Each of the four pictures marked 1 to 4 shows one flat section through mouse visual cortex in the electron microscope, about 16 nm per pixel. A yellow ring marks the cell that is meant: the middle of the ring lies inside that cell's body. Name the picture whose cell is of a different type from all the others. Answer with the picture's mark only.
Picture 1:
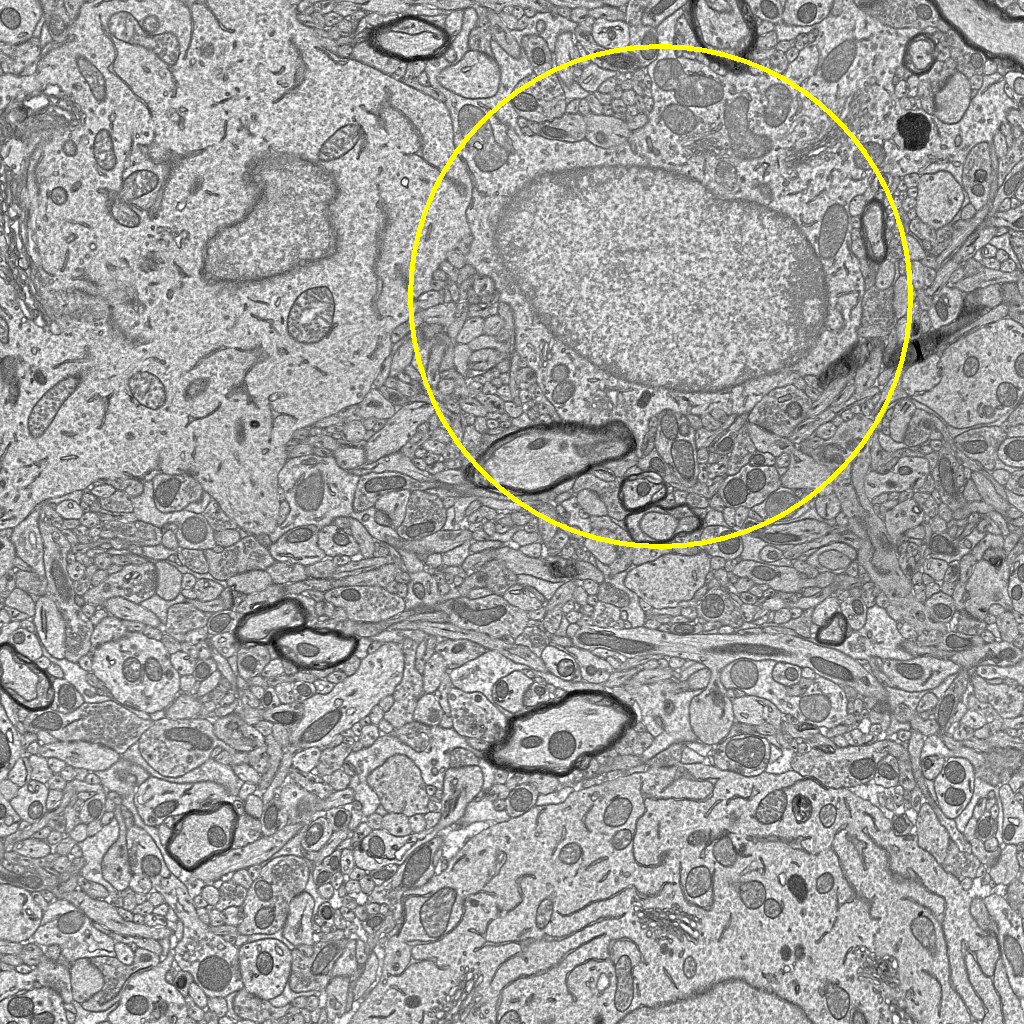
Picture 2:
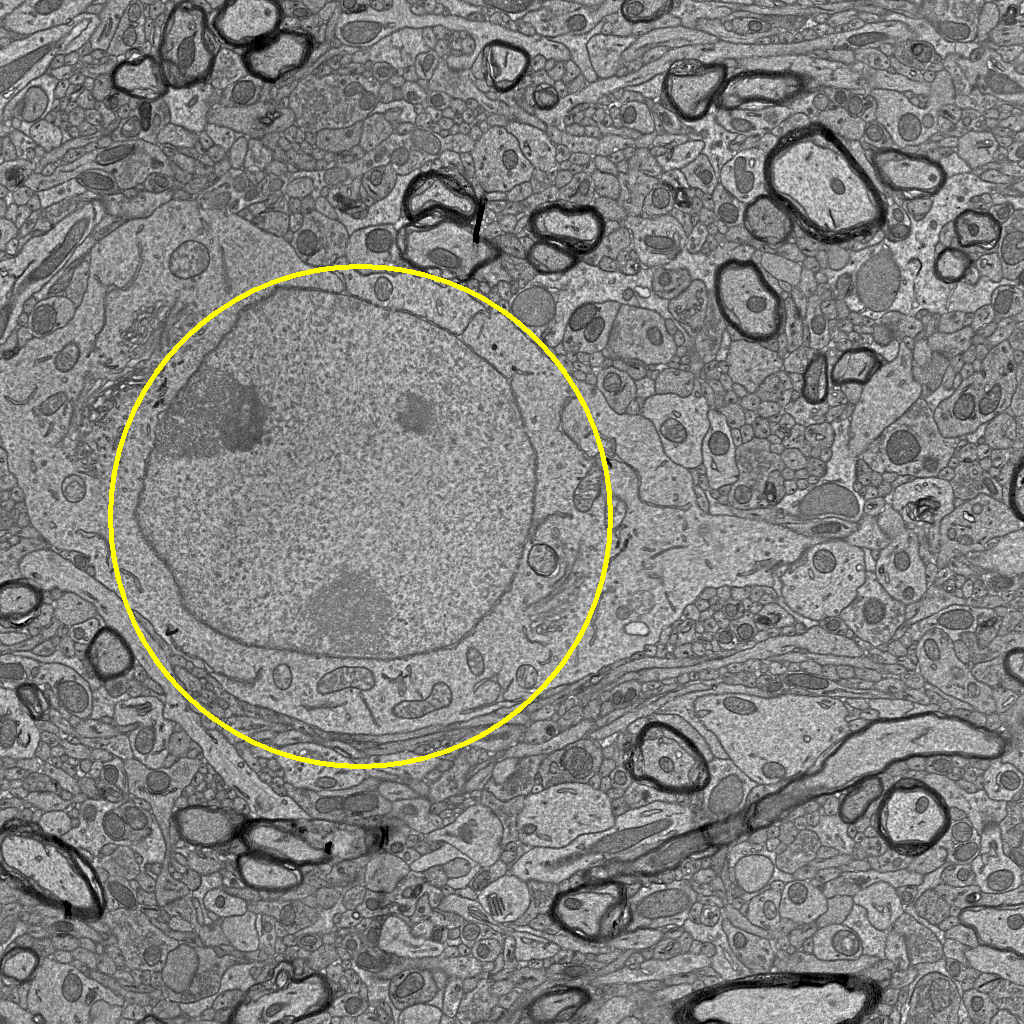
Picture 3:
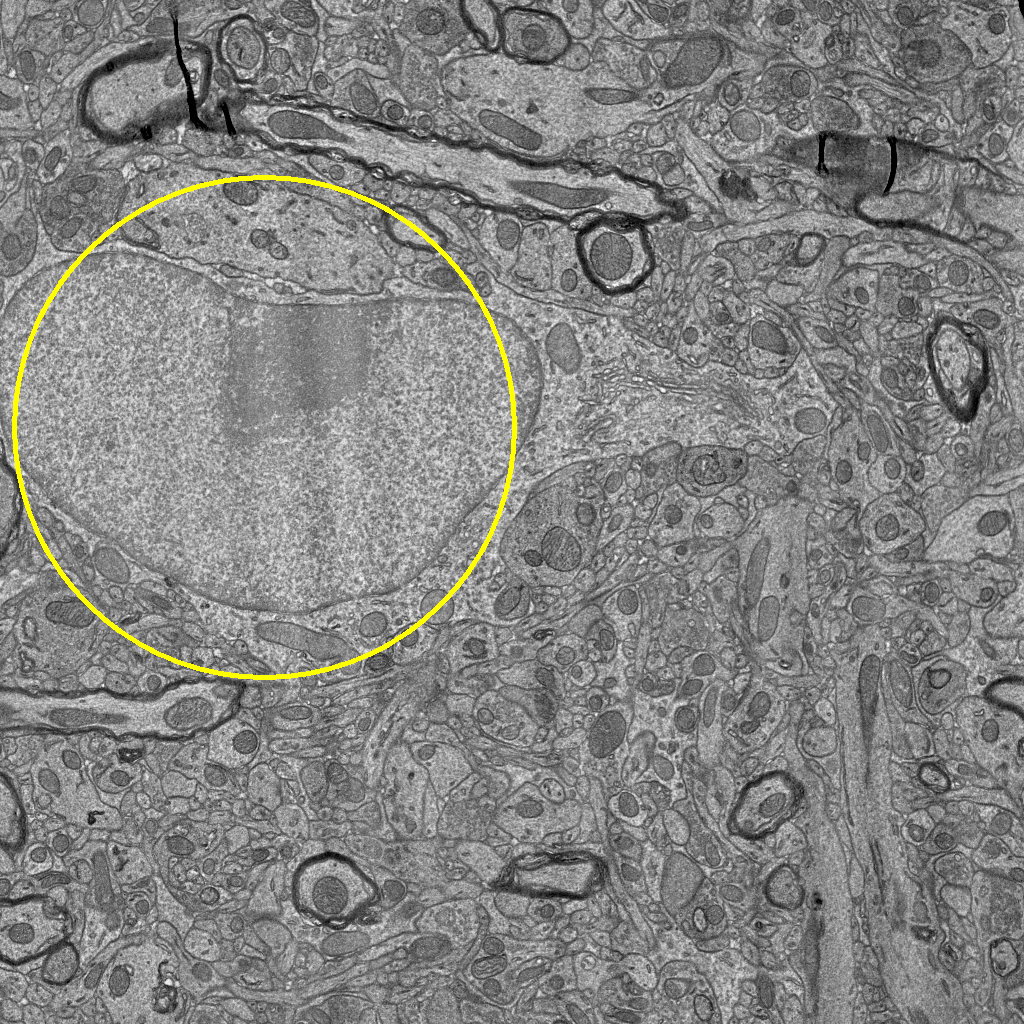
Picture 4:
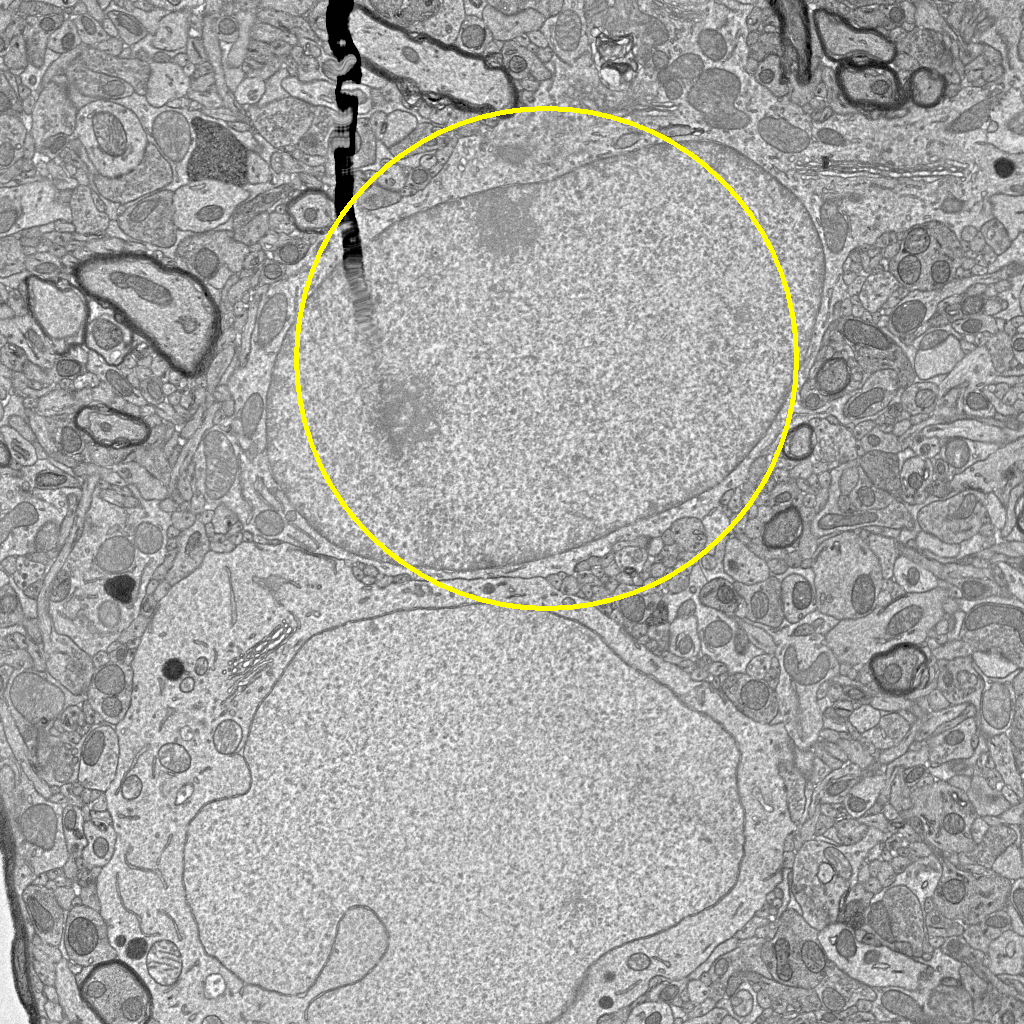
2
